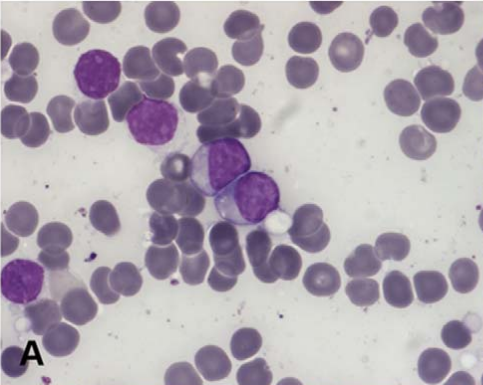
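This is a peripheral blood smear containing several large malignant cells among many red blood cells. The malignant cells are much larger, round, with a large purple nucleus that fills most of the cell and shows finely textured chromatin. Some have a narrow rim of pale blue-grey cytoplasm, clearer on one side of the nucleus. A few of these cells lie close together near the centre of the field, while others are scattered singly among the red cells.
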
